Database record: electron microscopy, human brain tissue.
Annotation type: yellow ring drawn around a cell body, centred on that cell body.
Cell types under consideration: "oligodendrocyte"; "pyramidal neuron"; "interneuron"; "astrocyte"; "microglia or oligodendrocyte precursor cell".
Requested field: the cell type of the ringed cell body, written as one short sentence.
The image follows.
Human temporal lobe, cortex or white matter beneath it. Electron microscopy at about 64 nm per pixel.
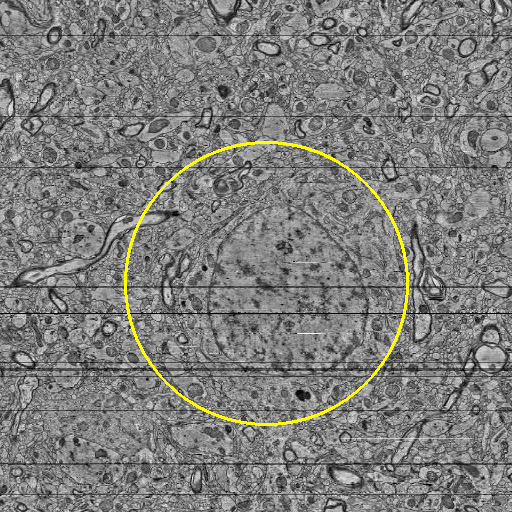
The ringed cell body represents an interneuron.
